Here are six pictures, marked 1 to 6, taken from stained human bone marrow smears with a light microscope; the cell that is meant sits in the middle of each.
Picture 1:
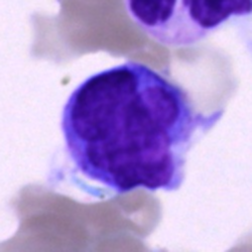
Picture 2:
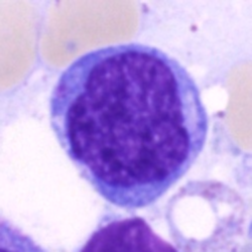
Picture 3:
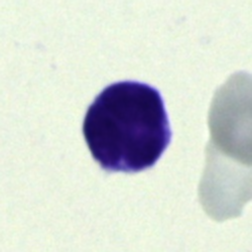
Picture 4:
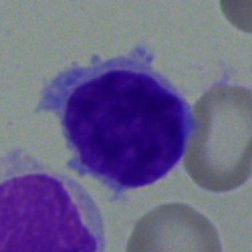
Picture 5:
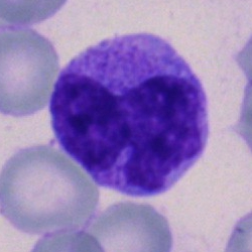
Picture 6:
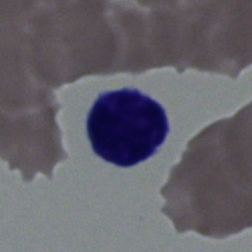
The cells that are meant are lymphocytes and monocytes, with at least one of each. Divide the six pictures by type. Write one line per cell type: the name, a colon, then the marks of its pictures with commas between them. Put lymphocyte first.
lymphocyte: 3, 4, 6
monocyte: 1, 2, 5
